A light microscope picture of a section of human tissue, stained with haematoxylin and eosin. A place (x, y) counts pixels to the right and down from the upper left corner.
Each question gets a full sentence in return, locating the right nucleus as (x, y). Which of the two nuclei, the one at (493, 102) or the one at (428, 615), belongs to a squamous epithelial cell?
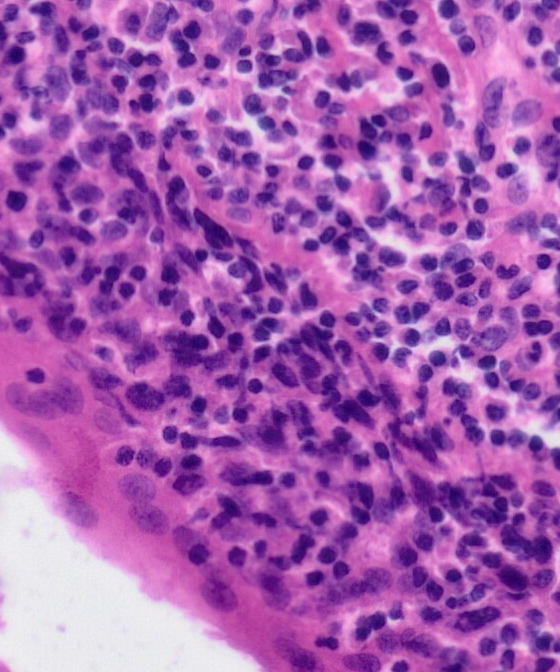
The nucleus located at (428, 615) is the one held within a squamous epithelial cell.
